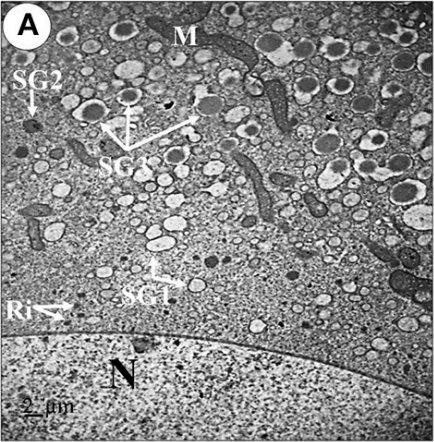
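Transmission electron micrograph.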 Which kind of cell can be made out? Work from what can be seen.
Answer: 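Oocyte. A very large nucleus with pale, finely dispersed chromatin bordered by a smooth envelope. Broad cytoplasm crowded with many round membrane-bound granules of differing density. Elongated mitochondria scattered among the granules.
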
